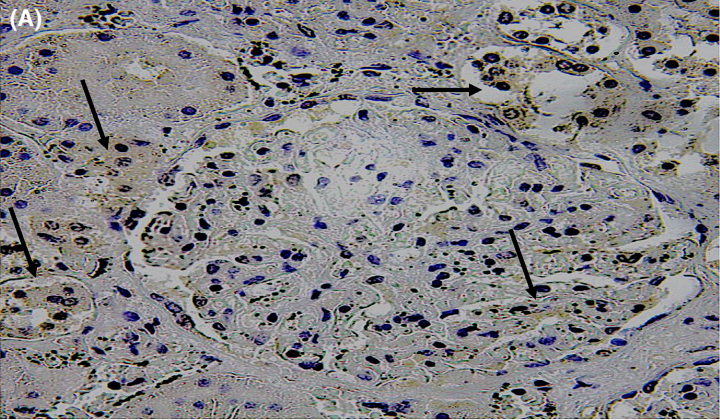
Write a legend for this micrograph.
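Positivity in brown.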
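Section of kidney with a large glomerulus in the centre, surrounded by cross-sections of convoluted tubules lined by cuboidal epithelial cells. Many cells of the glomerular tuft and of the tubular epithelium carry dark brown granular deposits, while other nuclei are stained blue. A thin pale space separates the glomerular tuft from its capsule.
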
